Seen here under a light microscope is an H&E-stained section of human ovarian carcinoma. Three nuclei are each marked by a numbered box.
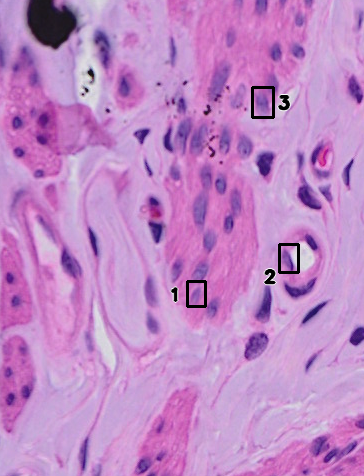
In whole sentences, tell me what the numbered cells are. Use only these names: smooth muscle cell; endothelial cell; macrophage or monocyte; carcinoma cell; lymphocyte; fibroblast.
Cell 1 is a smooth muscle cell, cell 2 is an endothelial cell and cell 3 is a smooth muscle cell.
